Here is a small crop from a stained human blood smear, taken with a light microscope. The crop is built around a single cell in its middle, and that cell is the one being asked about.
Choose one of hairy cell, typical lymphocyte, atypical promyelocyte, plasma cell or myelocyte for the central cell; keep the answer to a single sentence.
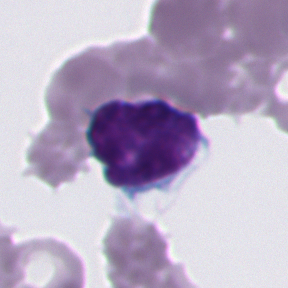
The cell at the centre of the field is a typical lymphocyte.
